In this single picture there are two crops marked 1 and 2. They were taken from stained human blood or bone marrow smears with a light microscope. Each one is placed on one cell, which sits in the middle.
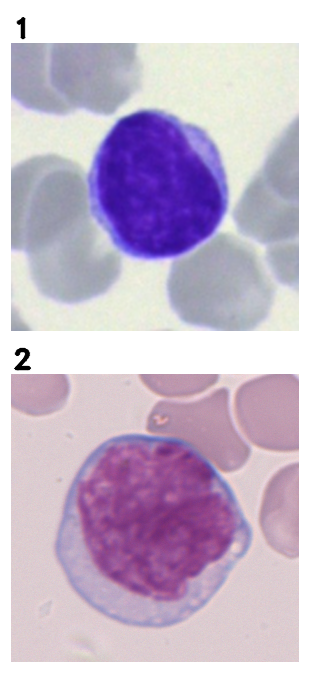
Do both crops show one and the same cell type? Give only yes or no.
no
